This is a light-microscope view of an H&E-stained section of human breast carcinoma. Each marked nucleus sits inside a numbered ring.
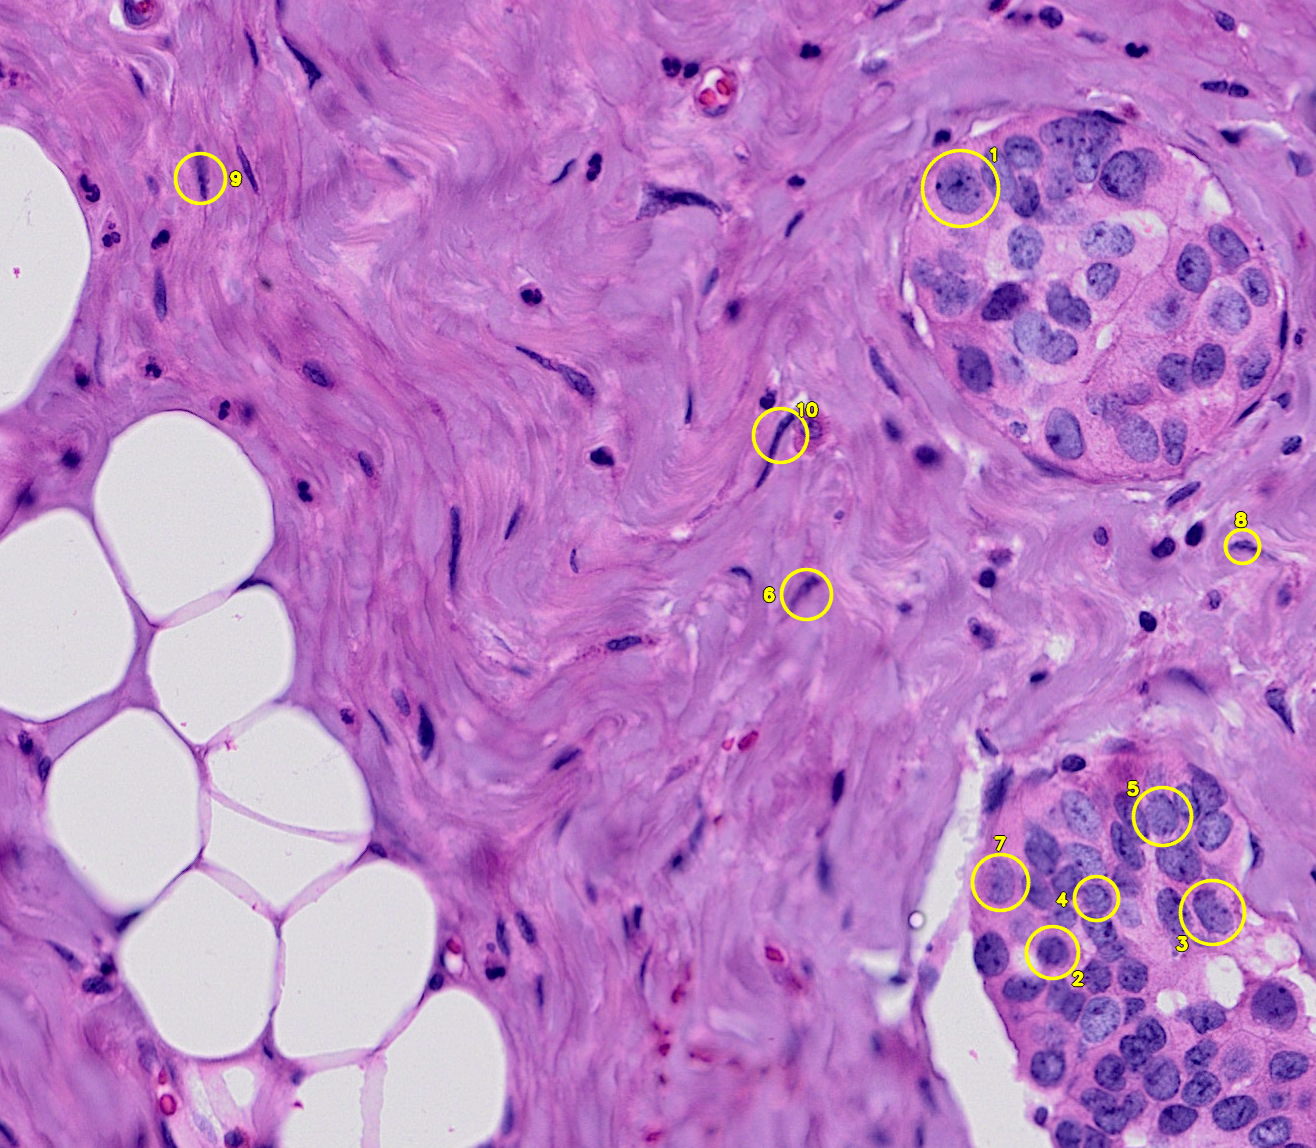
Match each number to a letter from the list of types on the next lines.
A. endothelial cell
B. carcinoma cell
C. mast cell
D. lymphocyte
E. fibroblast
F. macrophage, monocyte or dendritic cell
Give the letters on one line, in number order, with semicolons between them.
B; B; B; B; B; E; B; E; E; E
